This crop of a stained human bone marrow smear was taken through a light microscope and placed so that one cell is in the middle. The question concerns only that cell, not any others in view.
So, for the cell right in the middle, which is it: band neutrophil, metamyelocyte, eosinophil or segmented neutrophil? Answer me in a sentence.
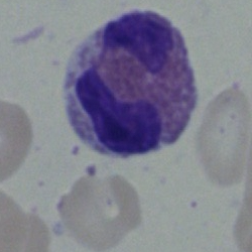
In short, the cell at the center is an eosinophil.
